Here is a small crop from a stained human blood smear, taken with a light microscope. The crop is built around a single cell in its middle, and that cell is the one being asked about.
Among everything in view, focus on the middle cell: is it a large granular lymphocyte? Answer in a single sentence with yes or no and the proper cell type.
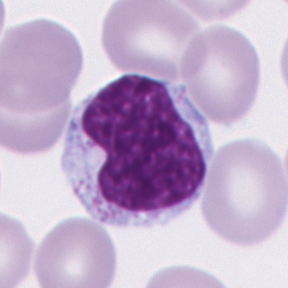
Yes, the cell under consideration, the one in the middle, is a large granular lymphocyte.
